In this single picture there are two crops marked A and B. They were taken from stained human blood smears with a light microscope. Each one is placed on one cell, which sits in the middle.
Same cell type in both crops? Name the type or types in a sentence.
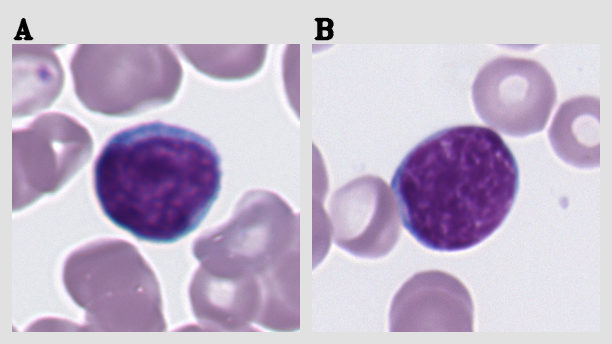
Yes, at the centre of both crops are lymphocytes.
